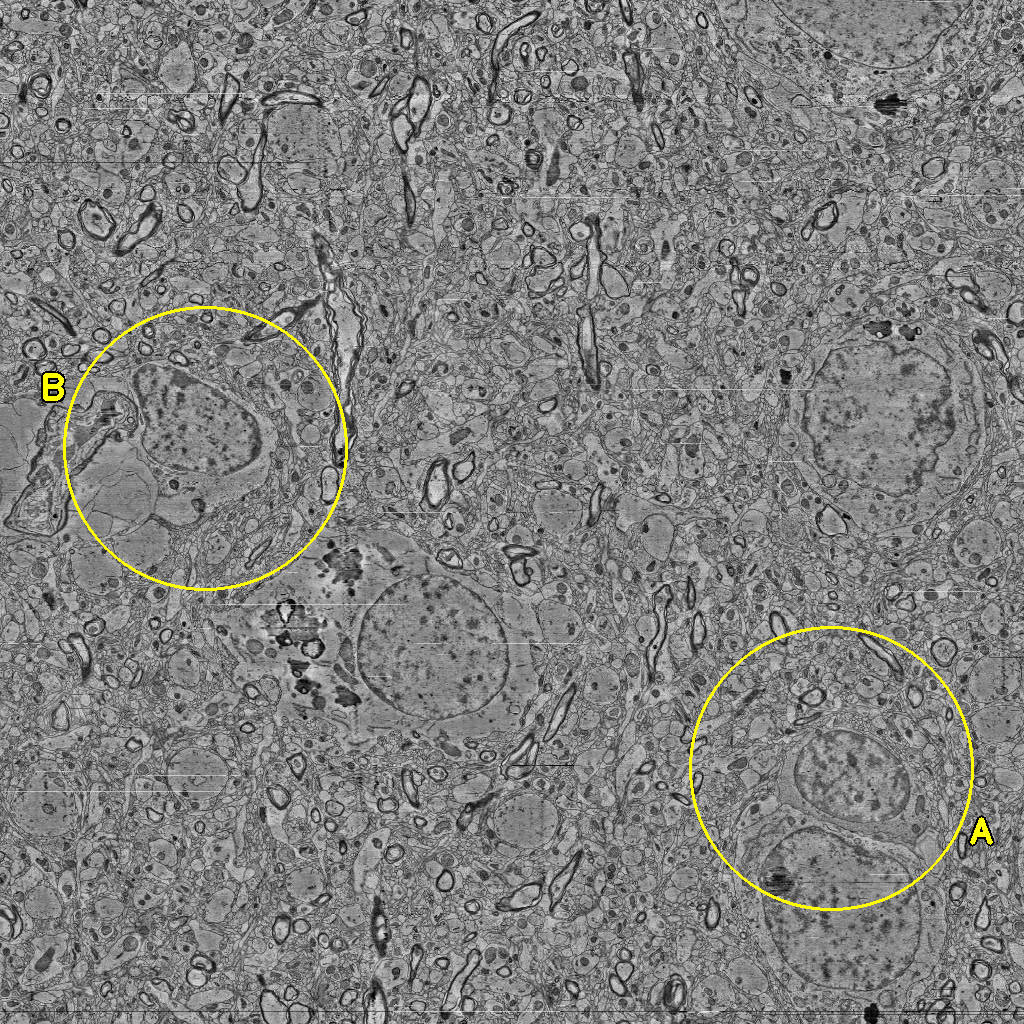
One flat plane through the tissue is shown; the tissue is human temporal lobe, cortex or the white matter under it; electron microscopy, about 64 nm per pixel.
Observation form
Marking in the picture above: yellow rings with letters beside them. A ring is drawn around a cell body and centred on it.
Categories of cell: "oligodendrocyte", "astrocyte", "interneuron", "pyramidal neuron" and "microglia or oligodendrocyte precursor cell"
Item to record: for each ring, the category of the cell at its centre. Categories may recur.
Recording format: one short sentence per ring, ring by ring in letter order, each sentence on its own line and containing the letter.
Ring A is placed on an oligodendrocyte.
Ring B is placed on a microglial cell or oligodendrocyte precursor cell.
